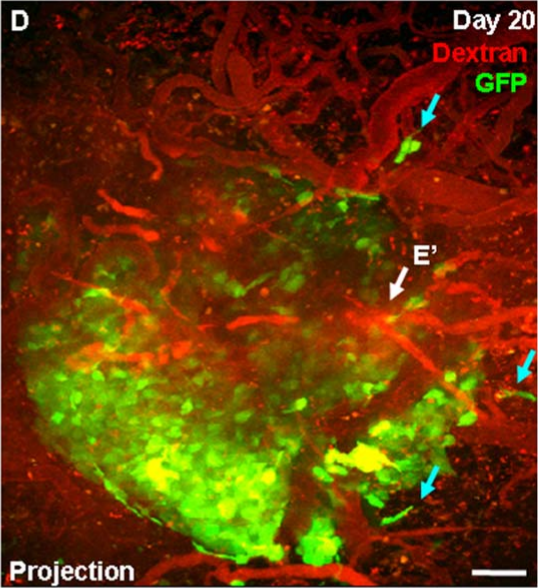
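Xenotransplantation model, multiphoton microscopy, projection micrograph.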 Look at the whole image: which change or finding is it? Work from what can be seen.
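Tumor formation. A large, dense mass of many packed green cells fills much of the field. The mass has a fairly sharp rounded border at the lower left. Red vessels run over and around the green mass.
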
